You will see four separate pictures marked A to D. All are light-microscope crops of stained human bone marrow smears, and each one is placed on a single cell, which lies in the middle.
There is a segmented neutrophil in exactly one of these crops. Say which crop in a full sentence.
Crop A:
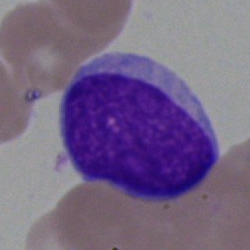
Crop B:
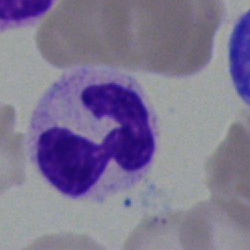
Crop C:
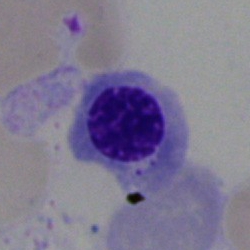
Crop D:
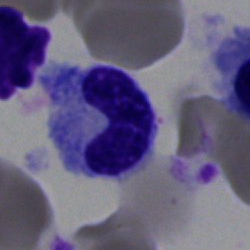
Crop B is the one in this set that shows a segmented neutrophil.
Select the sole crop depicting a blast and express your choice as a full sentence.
Crop A matches the request, showing a blast.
